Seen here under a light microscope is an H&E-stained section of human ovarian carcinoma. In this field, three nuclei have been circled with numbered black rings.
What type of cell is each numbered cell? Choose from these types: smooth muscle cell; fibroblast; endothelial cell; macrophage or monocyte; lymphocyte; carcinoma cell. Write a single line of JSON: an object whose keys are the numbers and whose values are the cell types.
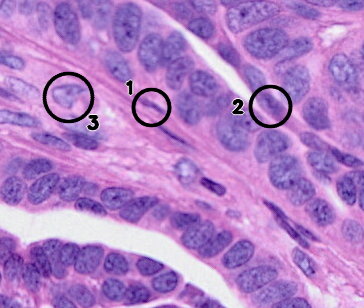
{"1": "fibroblast", "2": "carcinoma cell", "3": "fibroblast"}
